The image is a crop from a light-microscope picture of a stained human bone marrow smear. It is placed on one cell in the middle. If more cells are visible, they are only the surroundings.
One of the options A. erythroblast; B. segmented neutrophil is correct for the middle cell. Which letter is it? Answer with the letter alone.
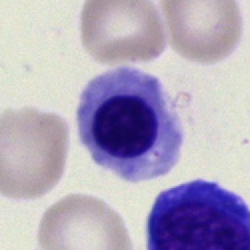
A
